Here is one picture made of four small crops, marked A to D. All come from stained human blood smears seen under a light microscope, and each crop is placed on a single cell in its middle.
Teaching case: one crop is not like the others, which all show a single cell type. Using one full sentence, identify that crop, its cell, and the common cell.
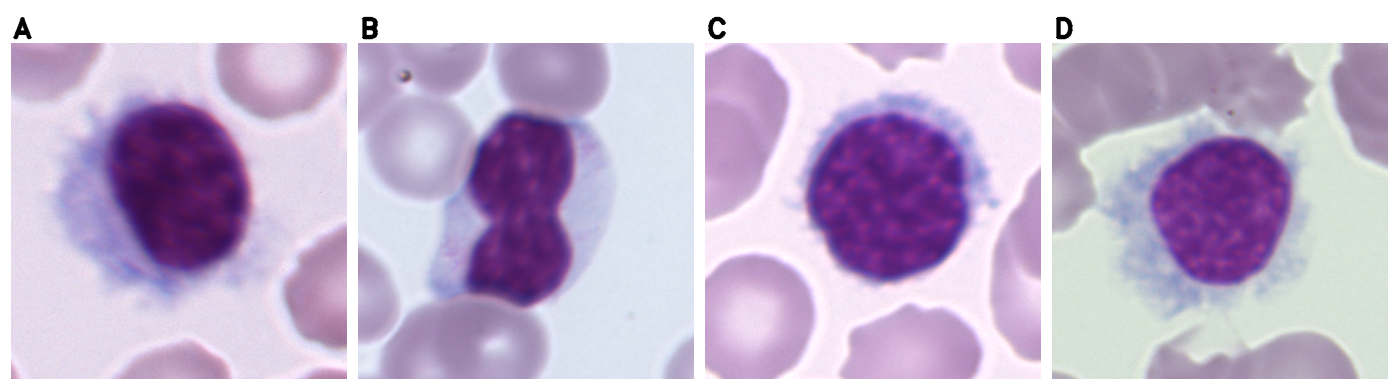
The different crop is crop B, a large granular lymphocyte; all the others show hairy cells.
